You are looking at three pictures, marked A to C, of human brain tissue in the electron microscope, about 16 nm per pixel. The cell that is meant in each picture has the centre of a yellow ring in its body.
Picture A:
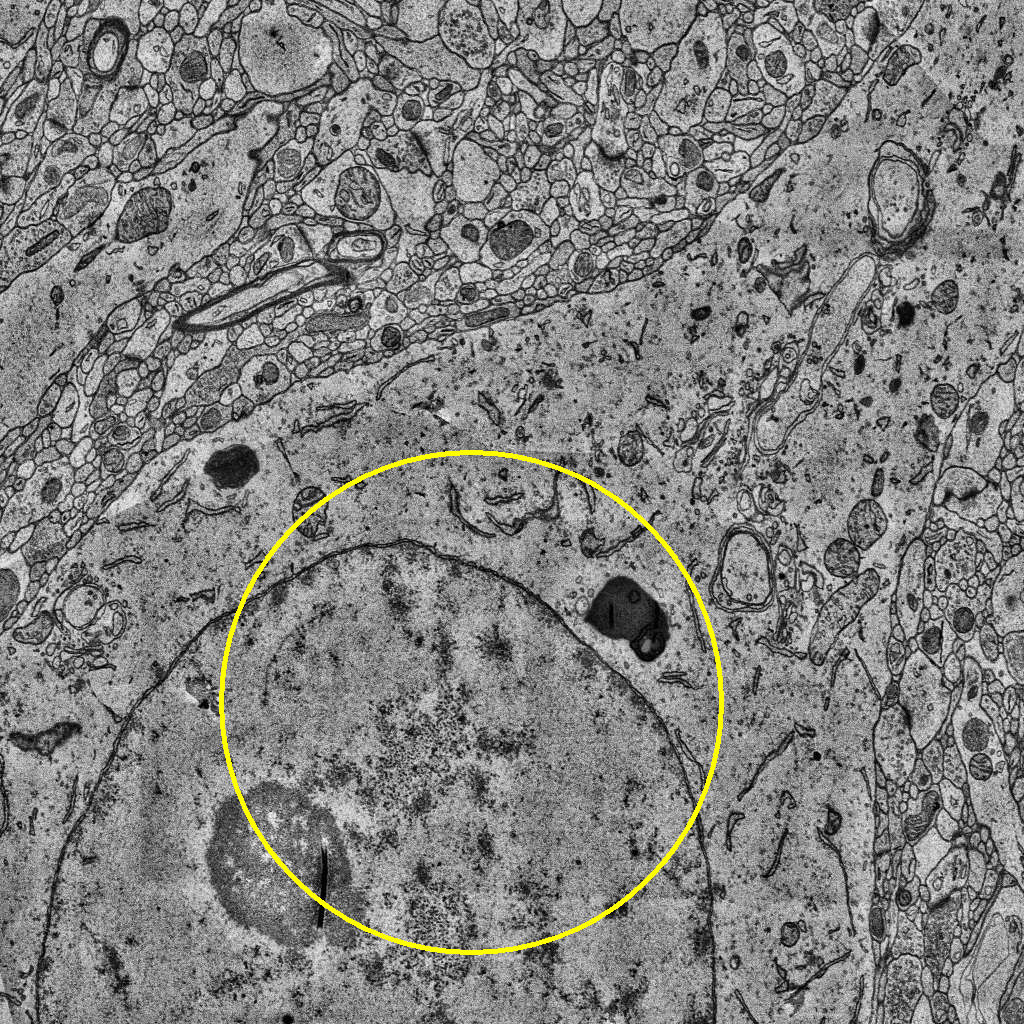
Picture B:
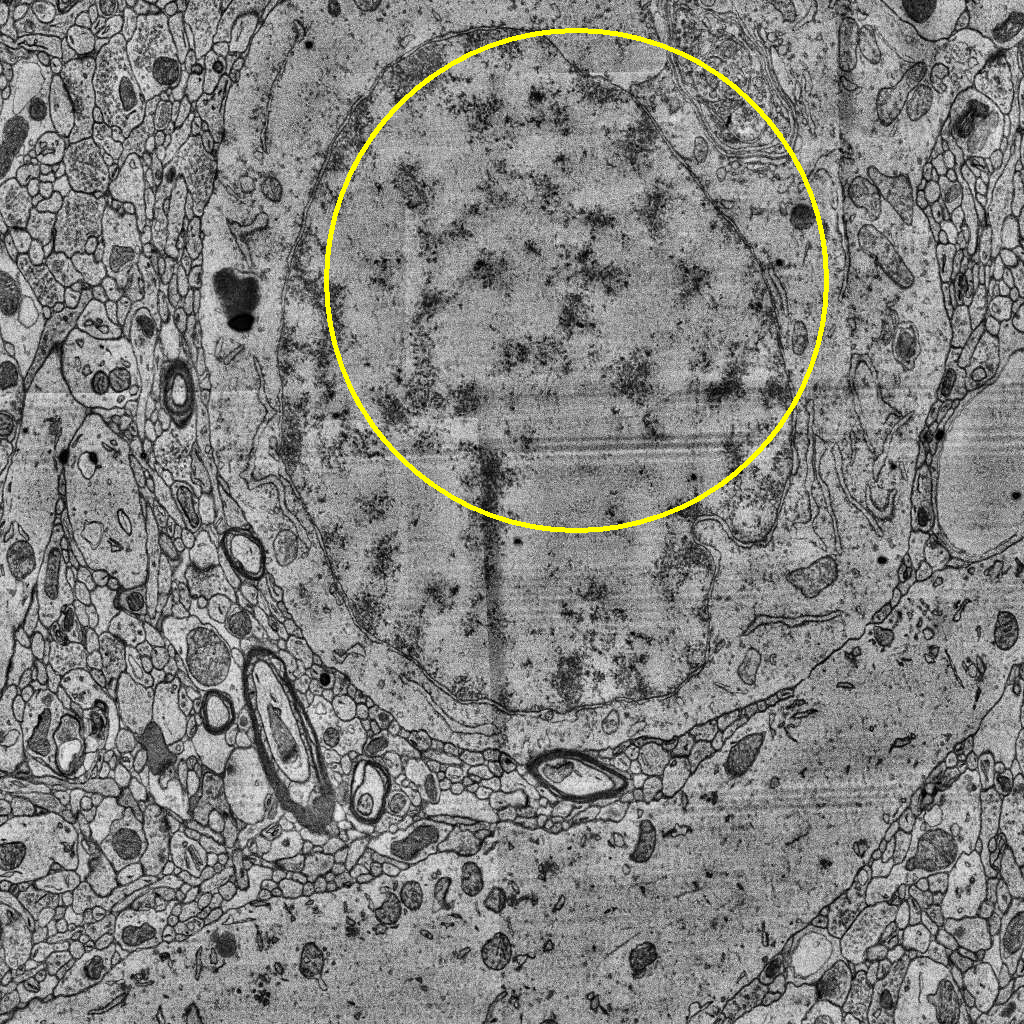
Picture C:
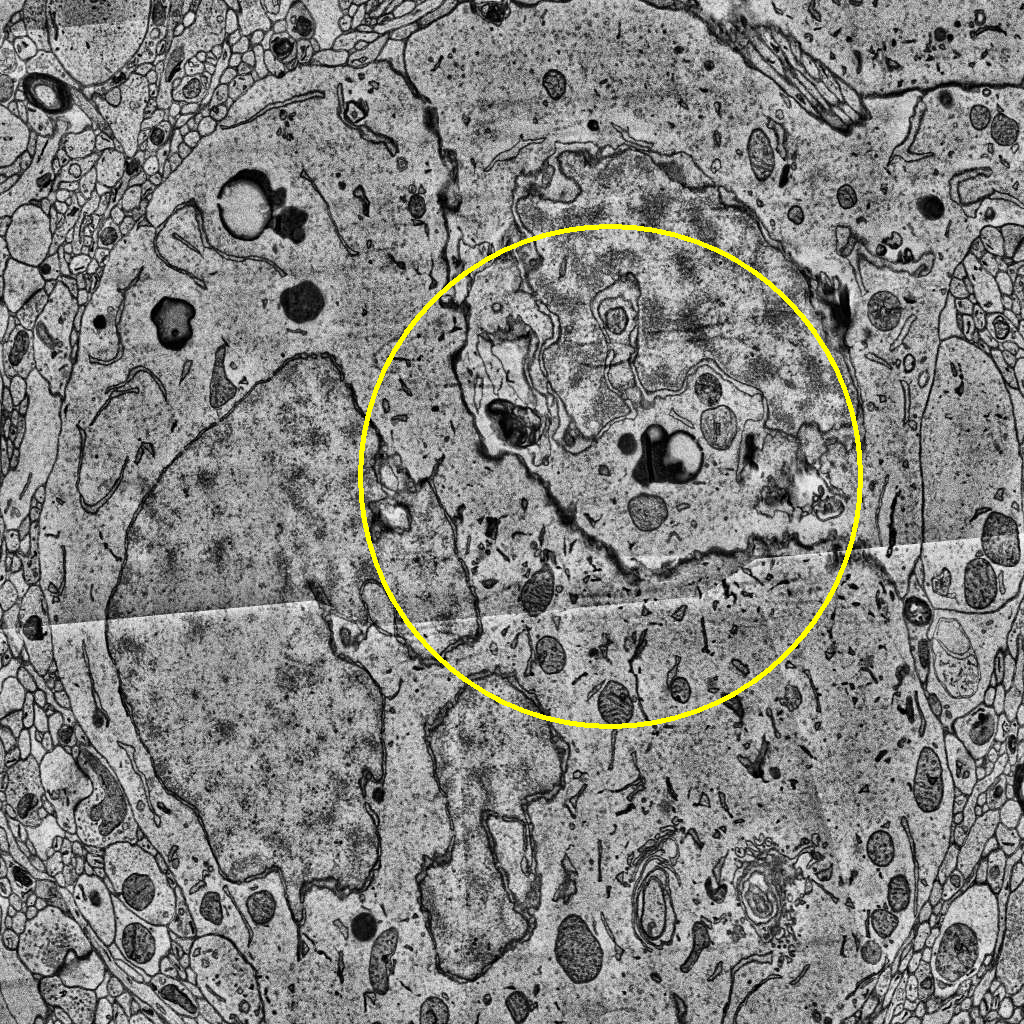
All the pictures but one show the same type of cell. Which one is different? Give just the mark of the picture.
A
